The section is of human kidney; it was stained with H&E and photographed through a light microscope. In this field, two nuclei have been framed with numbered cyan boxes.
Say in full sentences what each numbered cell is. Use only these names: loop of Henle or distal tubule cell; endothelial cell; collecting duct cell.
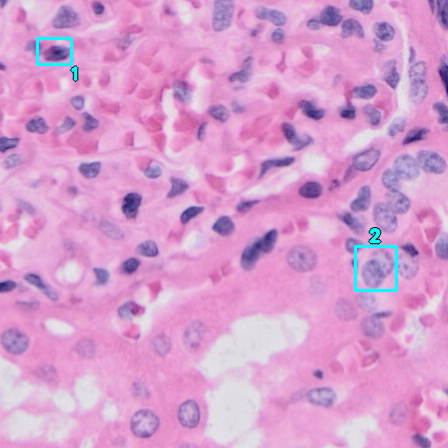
Cell 1 is an endothelial cell and cell 2 is a collecting duct cell.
